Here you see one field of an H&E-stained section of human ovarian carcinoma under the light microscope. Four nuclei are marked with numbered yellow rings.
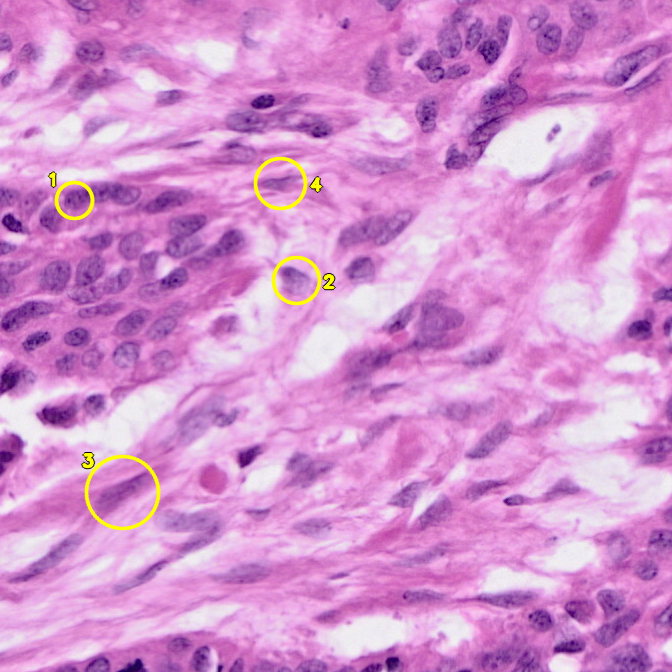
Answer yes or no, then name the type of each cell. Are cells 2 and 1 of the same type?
No, cell 1 is a carcinoma cell, and cell 2 is a fibroblast.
